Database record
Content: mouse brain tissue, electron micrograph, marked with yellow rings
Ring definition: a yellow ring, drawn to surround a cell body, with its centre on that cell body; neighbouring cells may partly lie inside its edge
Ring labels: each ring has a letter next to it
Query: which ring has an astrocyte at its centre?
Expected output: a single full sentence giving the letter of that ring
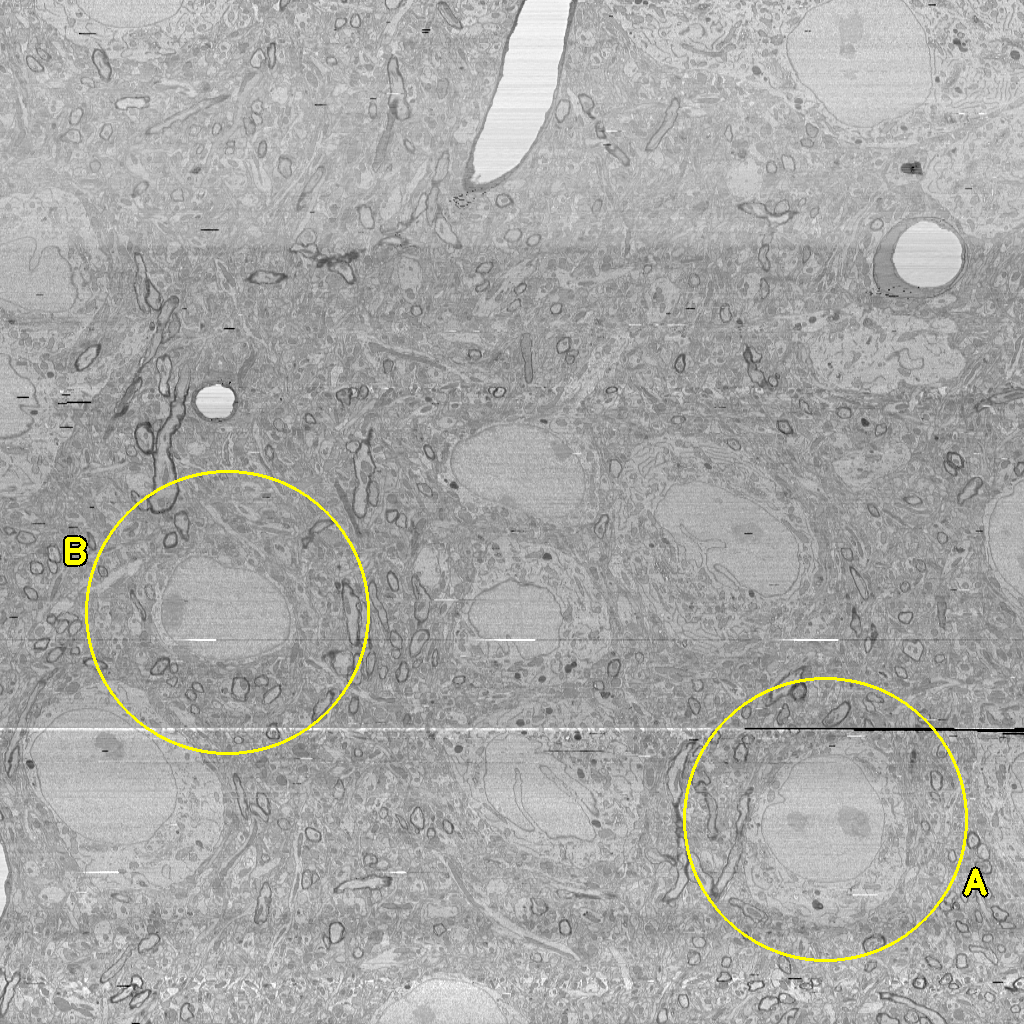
In the picture, the cell being queried lies at the centre of ring B.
